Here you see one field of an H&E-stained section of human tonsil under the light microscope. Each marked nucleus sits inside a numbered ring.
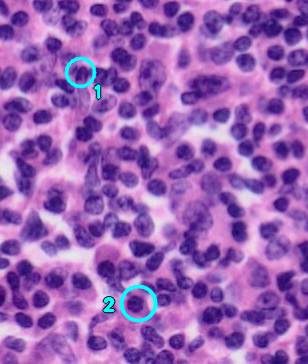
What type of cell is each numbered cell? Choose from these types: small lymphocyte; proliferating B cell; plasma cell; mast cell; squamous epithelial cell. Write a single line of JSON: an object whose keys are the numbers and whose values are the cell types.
{"1": "small lymphocyte", "2": "plasma cell"}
